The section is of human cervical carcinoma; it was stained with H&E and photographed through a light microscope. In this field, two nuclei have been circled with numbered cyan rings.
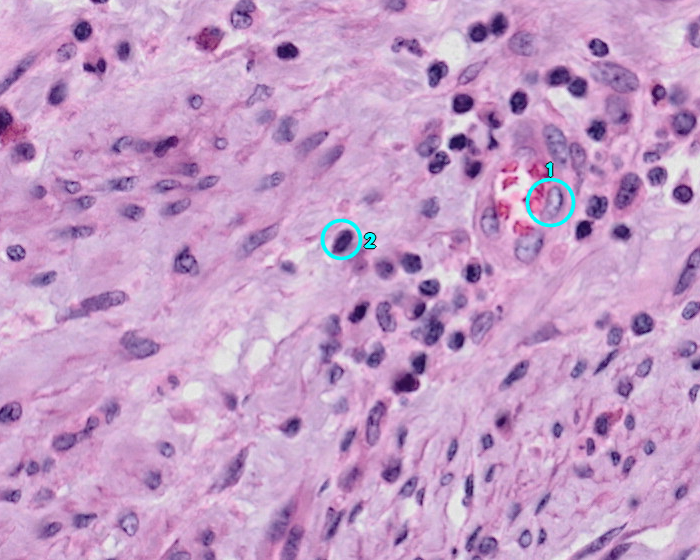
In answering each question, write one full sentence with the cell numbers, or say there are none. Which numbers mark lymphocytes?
None but cell 2 among the numbered cells is a lymphocyte.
